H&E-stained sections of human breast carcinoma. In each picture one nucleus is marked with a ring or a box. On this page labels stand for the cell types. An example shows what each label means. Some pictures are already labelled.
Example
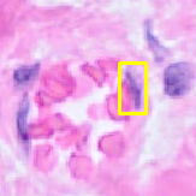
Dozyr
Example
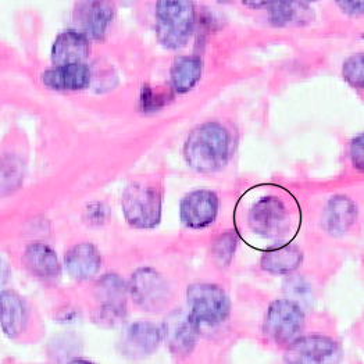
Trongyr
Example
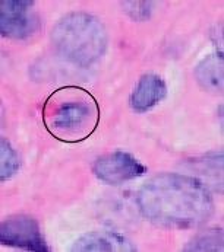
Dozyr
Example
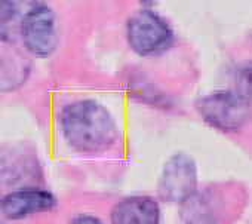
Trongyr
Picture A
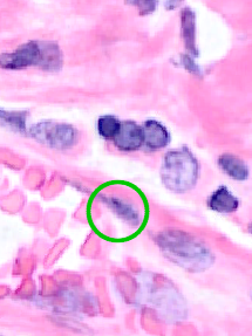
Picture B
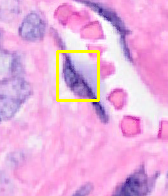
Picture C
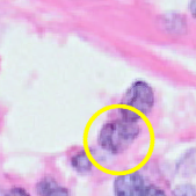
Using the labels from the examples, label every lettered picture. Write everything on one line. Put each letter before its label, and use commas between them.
A Dozyr, B Dozyr, C Trongyr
